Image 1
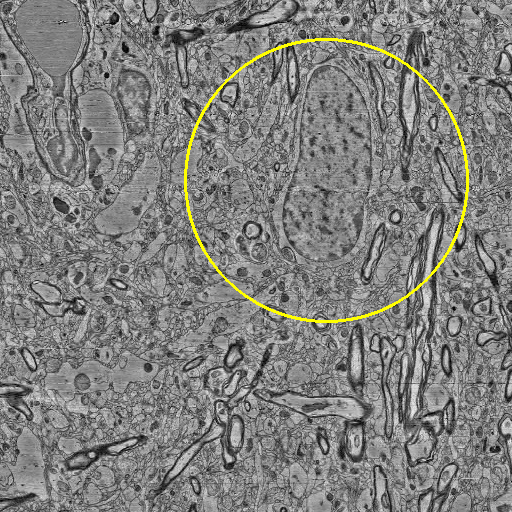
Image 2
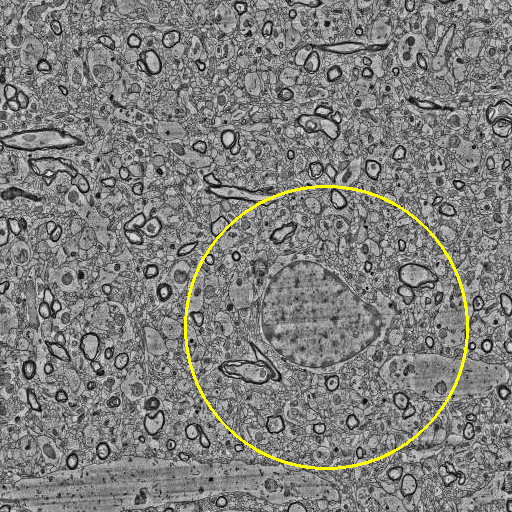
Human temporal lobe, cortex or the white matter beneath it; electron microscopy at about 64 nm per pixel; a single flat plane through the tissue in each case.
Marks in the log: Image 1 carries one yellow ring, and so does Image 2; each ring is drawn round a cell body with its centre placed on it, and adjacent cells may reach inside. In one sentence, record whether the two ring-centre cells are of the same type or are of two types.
The two cells at the ring centres, one in each image, are of the same type.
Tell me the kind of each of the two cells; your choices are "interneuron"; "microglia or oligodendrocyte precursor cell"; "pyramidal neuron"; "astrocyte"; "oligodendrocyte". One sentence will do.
The second cell is a microglial cell or oligodendrocyte precursor cell, just as the first is.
